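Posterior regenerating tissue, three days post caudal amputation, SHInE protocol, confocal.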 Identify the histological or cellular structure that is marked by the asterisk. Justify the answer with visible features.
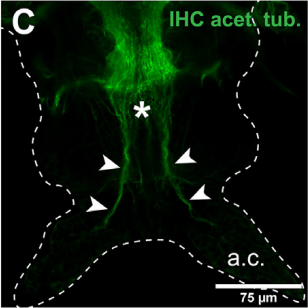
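A thick bundle of parallel green fibres runs down the midline from the top of the tissue. The asterisk sits on this bundle.
Conclusion: ventral nerve cord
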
